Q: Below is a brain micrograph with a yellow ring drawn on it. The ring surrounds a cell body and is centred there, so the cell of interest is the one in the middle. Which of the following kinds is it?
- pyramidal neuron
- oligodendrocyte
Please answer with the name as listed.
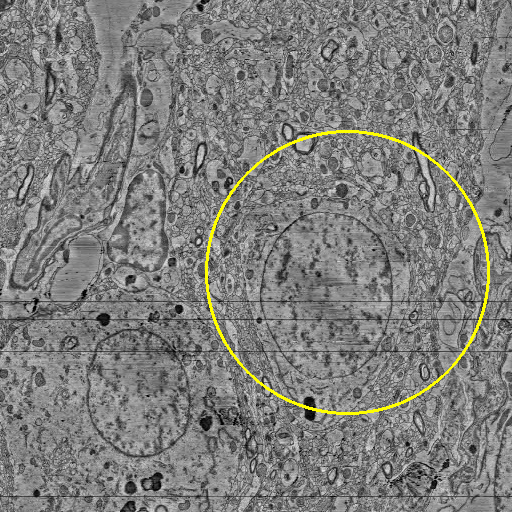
pyramidal neuron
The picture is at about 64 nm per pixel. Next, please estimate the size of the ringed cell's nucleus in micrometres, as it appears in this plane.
The nucleus of the ringed cell is approximately 11 by 8 micrometres in this plane.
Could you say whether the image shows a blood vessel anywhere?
Yes, one shows.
